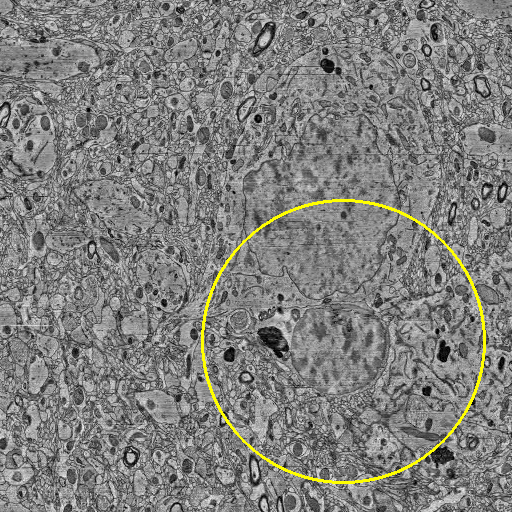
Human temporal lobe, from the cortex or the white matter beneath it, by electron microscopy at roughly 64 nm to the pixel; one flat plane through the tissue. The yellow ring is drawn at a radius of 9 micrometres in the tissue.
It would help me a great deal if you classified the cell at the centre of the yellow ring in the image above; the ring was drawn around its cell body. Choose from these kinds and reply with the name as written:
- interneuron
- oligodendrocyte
oligodendrocyte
